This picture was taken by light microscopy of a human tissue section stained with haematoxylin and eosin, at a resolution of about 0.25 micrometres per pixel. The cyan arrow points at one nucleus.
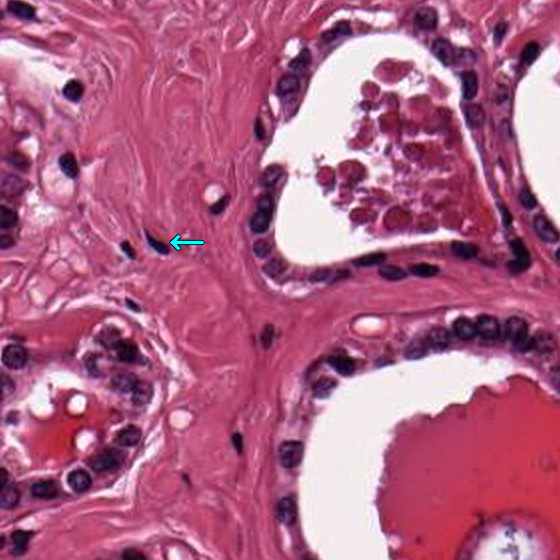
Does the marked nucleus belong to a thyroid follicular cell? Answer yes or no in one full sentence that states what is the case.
No, the marked nucleus belongs not to a thyroid follicular cell but to a supporting cell of connective tissue, a vessel or the immune system.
